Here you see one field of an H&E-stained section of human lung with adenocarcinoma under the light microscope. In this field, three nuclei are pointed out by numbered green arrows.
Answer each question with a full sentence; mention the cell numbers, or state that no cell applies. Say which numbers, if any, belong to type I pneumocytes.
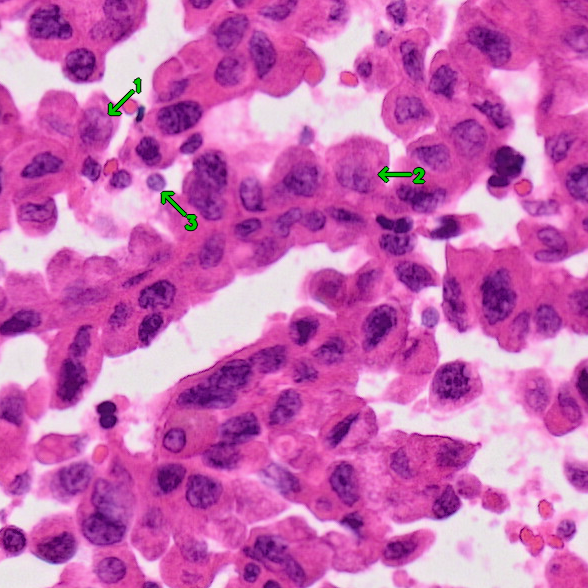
Nowhere among the numbered cells do type I pneumocytes occur.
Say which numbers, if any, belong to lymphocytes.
The sole numbered cell that is a lymphocyte is cell 3.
